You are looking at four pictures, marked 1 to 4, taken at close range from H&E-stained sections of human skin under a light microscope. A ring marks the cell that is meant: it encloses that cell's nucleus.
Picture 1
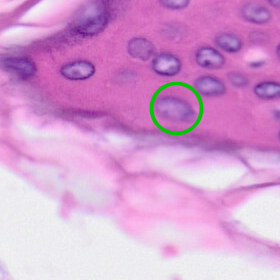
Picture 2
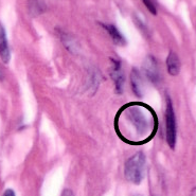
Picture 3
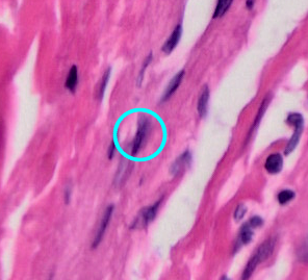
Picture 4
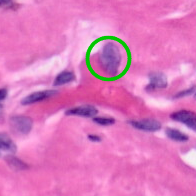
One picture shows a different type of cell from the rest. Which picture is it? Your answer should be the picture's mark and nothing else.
1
